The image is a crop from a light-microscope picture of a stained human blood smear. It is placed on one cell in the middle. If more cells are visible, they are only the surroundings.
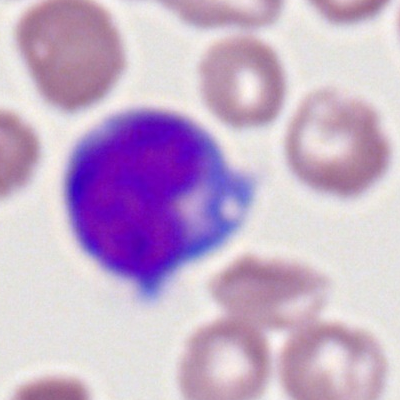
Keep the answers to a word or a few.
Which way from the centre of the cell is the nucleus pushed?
left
